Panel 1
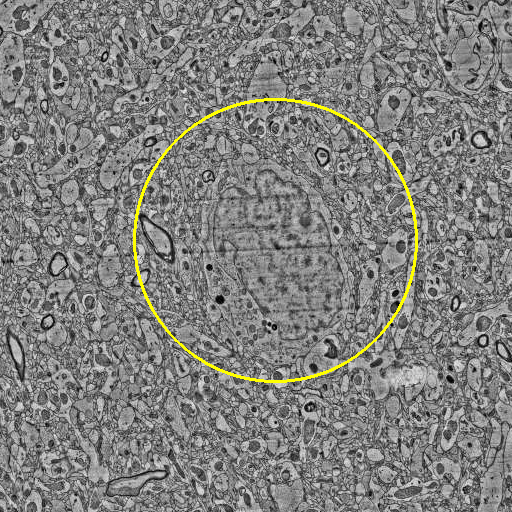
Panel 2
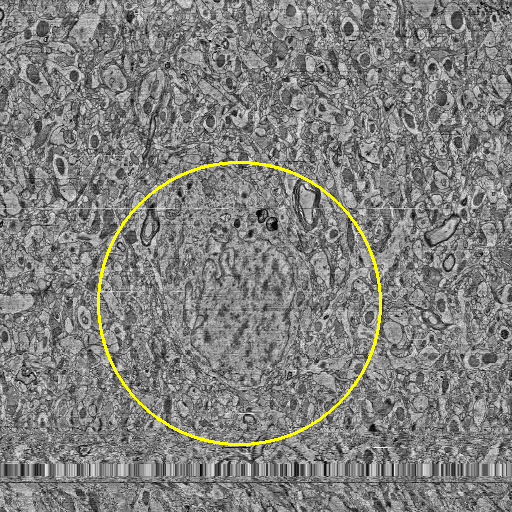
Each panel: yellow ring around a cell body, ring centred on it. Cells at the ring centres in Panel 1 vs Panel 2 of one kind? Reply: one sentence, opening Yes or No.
Yes, Panel 1 and Panel 2 have cells of one kind at the ring centres.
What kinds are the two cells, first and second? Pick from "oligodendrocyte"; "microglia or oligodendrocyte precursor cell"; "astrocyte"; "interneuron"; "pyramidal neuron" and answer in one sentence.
Each of the two pictures has an interneuron at the ring centre.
